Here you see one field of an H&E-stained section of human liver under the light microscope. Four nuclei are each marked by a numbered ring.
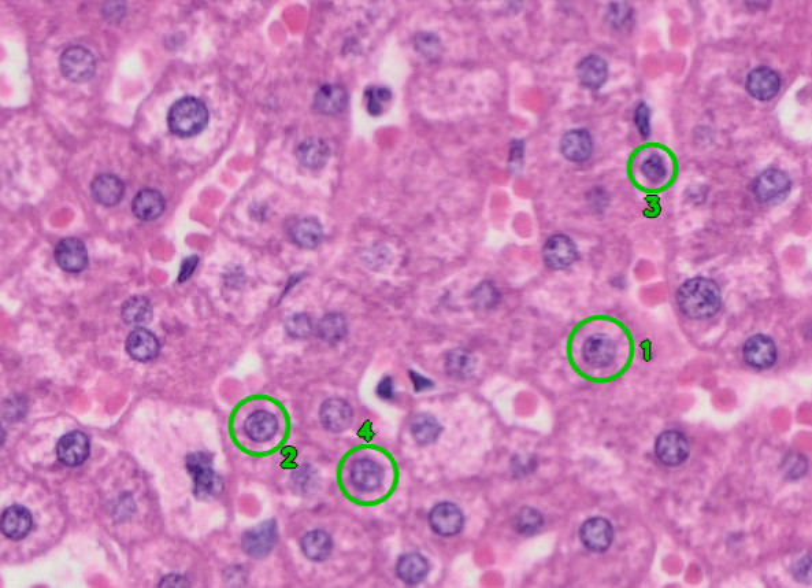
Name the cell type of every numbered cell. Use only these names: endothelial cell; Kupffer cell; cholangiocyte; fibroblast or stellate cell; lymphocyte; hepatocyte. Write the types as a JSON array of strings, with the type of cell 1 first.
["hepatocyte", "hepatocyte", "Kupffer cell", "hepatocyte"]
